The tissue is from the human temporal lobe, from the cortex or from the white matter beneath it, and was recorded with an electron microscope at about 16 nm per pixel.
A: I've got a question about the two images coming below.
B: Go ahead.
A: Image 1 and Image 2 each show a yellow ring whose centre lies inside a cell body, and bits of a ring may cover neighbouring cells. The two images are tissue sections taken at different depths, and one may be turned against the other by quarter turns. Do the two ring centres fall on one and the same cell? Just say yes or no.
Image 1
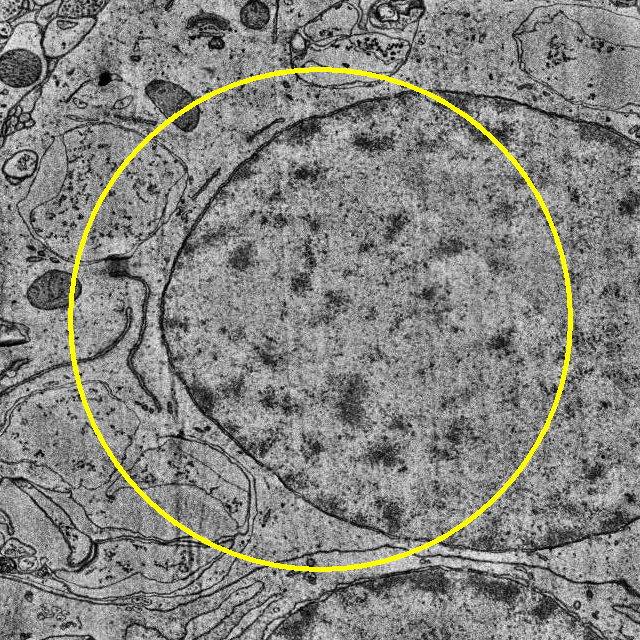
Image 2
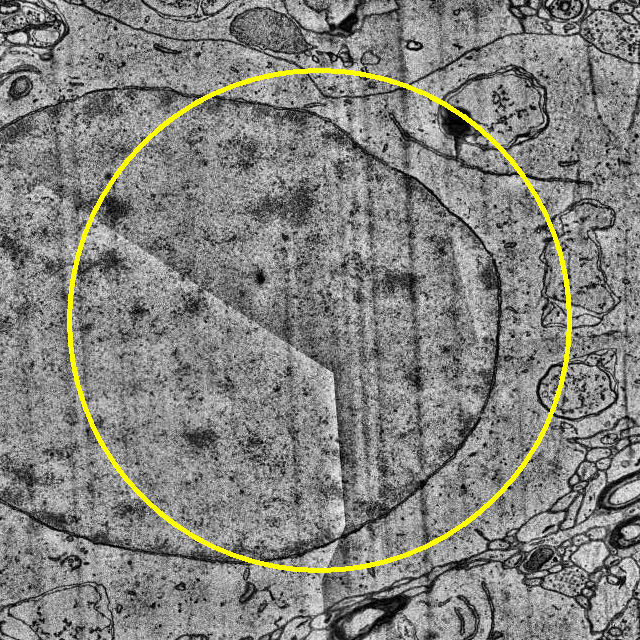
yes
